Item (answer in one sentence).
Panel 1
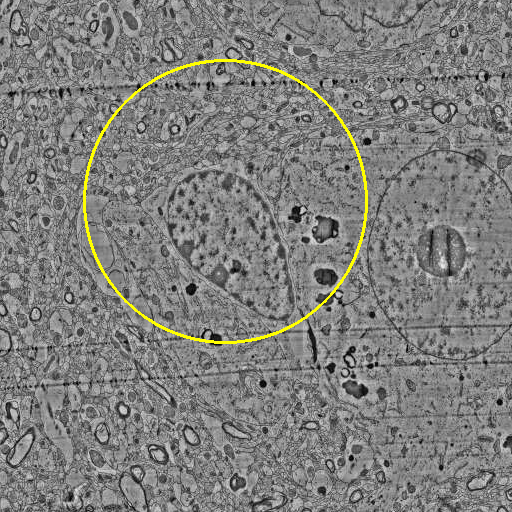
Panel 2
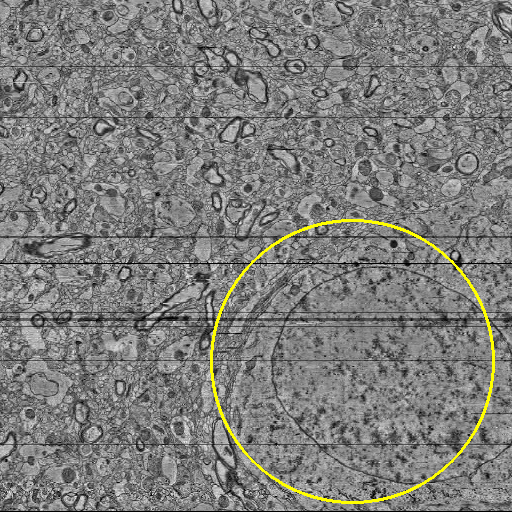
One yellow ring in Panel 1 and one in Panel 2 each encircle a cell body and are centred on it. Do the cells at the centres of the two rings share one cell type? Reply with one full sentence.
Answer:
No, Panel 1 and Panel 2 show cells of two types at the centres of their rings.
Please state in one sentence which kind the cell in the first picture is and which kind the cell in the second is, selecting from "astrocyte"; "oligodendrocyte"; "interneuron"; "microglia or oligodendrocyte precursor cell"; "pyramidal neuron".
The first ringed cell is a microglial cell or oligodendrocyte precursor cell, the second ringed cell a pyramidal neuron.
